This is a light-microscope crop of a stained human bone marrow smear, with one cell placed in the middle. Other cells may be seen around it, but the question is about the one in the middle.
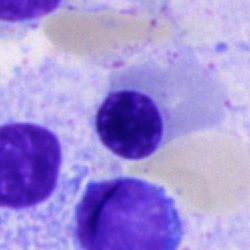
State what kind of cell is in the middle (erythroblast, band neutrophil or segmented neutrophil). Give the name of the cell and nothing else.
erythroblast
